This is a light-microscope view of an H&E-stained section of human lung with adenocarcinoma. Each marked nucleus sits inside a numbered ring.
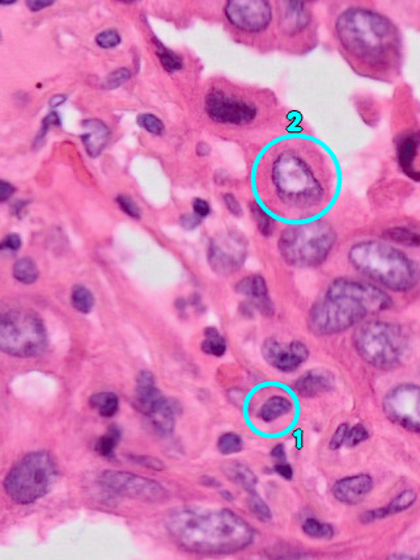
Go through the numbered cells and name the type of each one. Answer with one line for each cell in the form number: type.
1: lymphocyte
2: carcinoma cell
